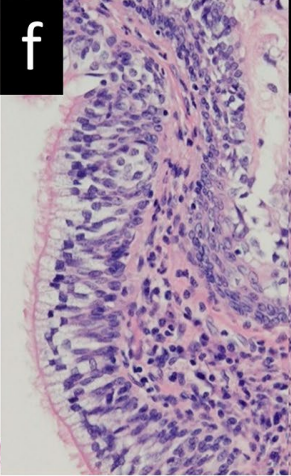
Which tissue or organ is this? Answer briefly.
Columnar pseudostratified epithelium.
